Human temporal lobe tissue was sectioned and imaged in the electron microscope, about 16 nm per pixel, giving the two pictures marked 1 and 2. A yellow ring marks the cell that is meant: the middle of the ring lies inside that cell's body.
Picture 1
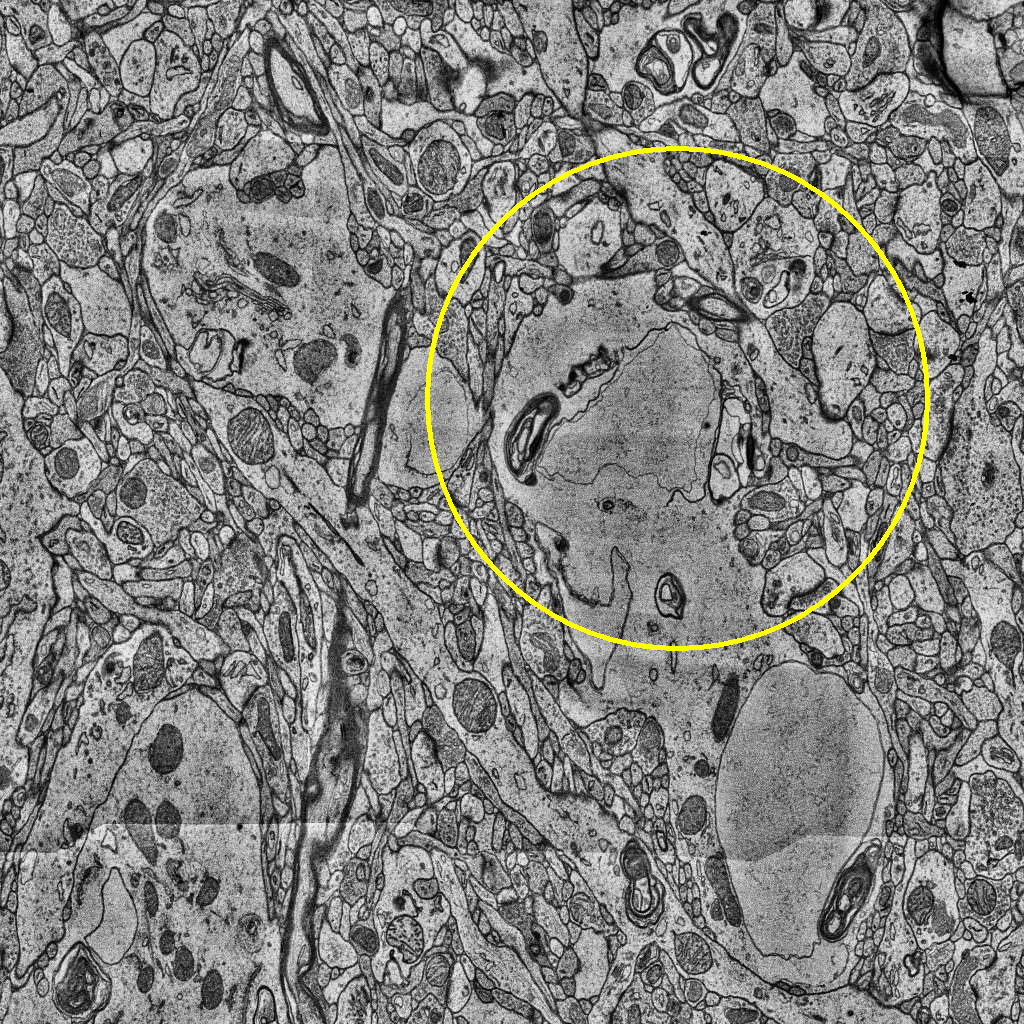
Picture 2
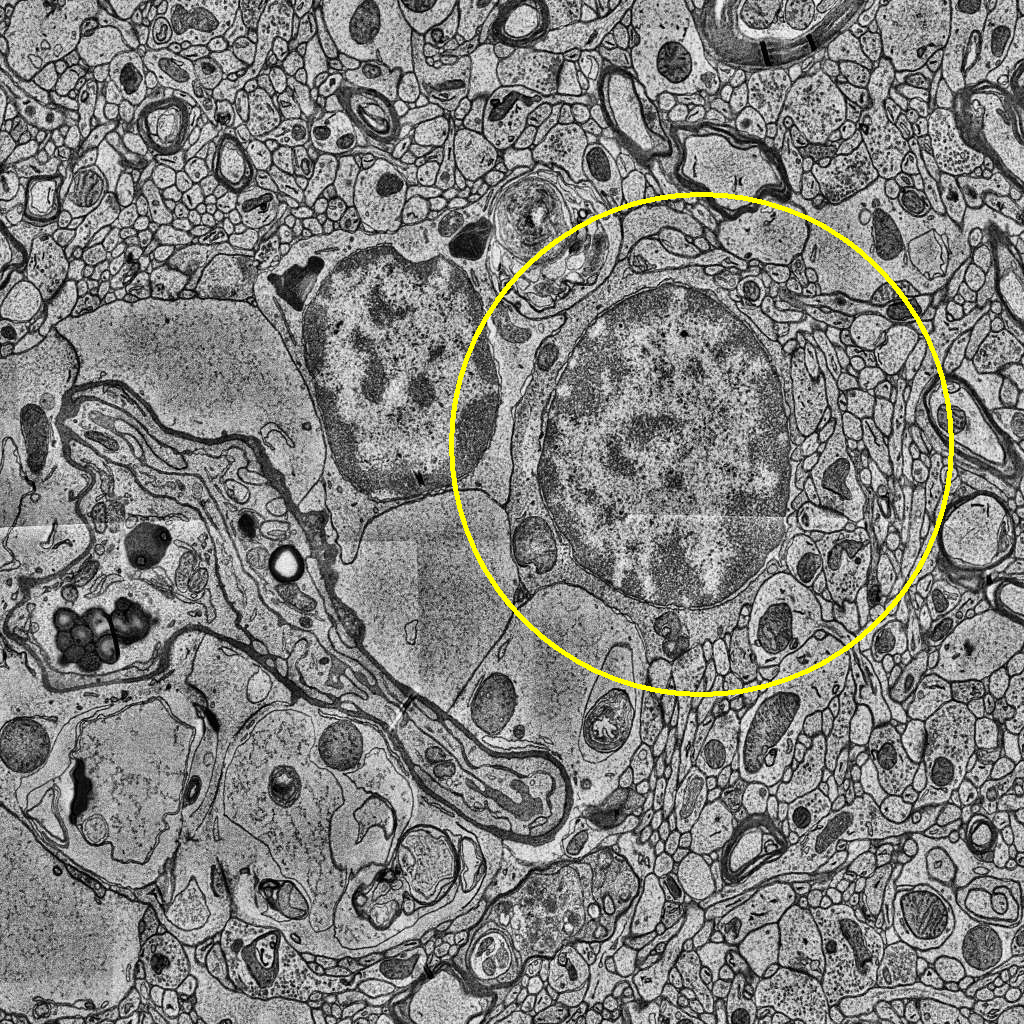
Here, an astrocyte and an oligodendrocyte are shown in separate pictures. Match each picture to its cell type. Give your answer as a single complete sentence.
Picture 1 is of an astrocyte, and picture 2 is of an oligodendrocyte.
